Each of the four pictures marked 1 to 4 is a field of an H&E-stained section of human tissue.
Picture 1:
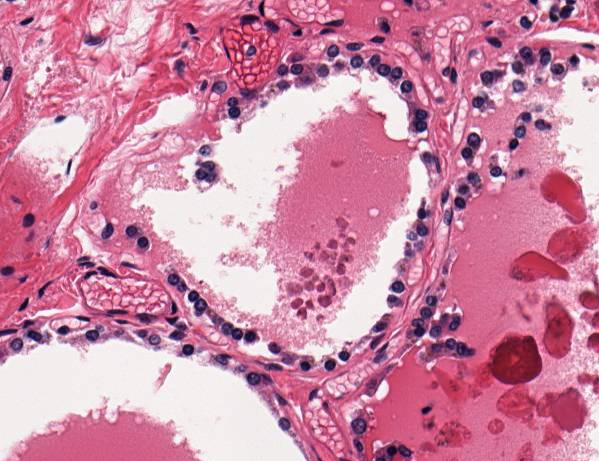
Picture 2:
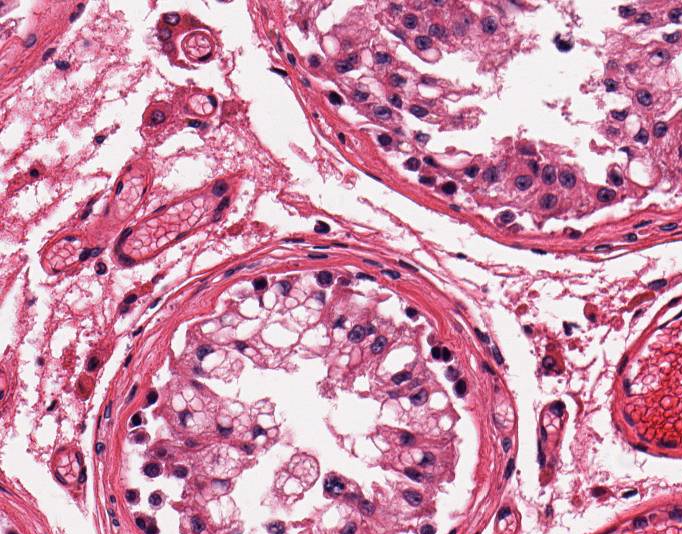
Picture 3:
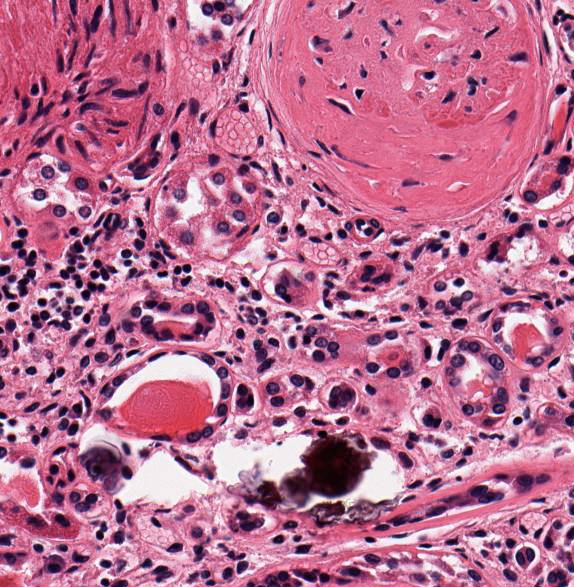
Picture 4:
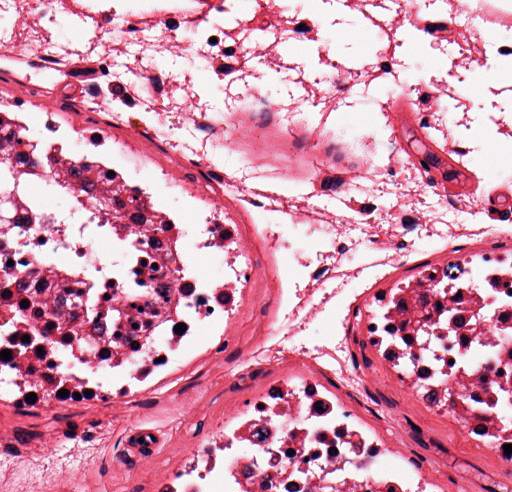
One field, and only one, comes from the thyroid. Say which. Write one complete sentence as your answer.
Picture 1 is the field that comes from the thyroid.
